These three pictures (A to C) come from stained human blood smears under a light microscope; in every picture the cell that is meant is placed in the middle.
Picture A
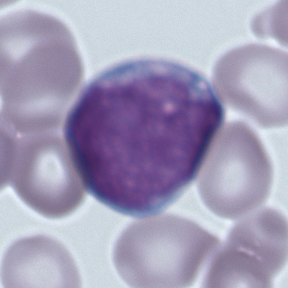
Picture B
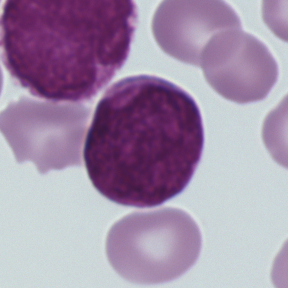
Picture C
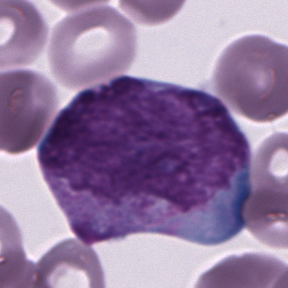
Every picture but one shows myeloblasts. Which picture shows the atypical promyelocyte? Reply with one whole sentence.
The atypical promyelocyte is the one in picture C.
